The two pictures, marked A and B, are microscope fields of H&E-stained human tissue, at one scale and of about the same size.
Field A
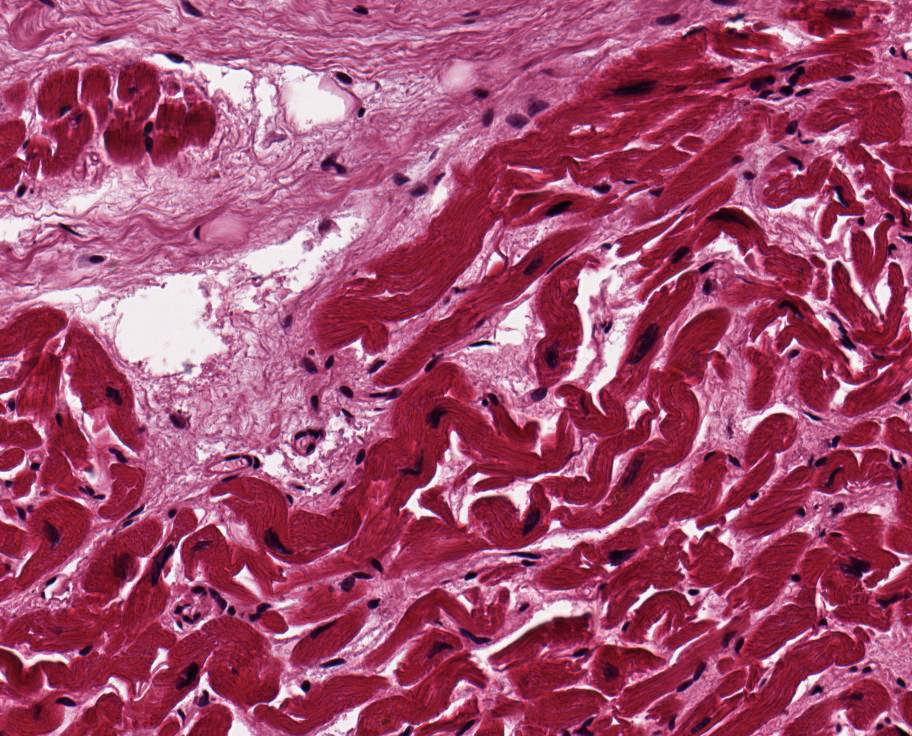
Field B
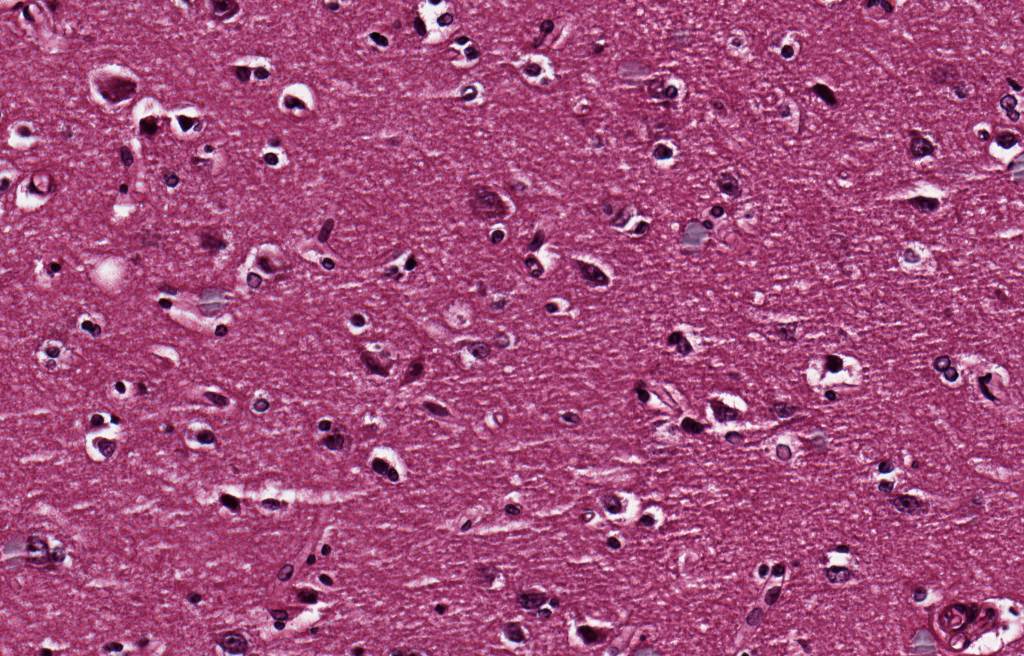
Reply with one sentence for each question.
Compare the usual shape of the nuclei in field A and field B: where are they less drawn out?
It is field B whose nuclei are the rounder.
